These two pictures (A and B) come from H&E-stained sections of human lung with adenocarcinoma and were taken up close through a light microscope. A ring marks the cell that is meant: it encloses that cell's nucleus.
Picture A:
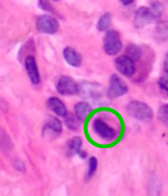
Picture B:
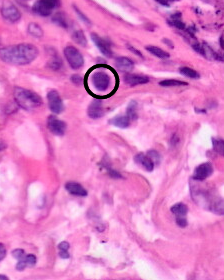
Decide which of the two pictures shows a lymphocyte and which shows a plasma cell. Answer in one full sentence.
Picture B shows a lymphocyte, while picture A shows a plasma cell.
